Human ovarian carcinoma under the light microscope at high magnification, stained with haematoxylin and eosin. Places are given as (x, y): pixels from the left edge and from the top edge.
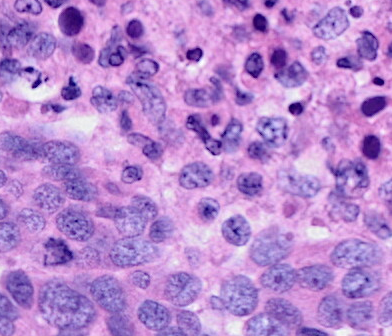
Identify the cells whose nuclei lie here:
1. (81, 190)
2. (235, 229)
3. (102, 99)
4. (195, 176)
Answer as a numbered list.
1. carcinoma cell
2. macrophage or monocyte
3. macrophage or monocyte
4. macrophage or monocyte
